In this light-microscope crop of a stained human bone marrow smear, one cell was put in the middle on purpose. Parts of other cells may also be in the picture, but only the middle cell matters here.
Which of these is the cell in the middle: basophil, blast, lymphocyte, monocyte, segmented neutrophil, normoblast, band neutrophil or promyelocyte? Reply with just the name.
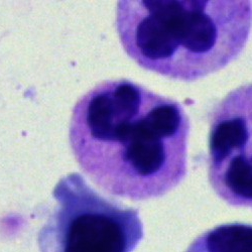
segmented neutrophil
